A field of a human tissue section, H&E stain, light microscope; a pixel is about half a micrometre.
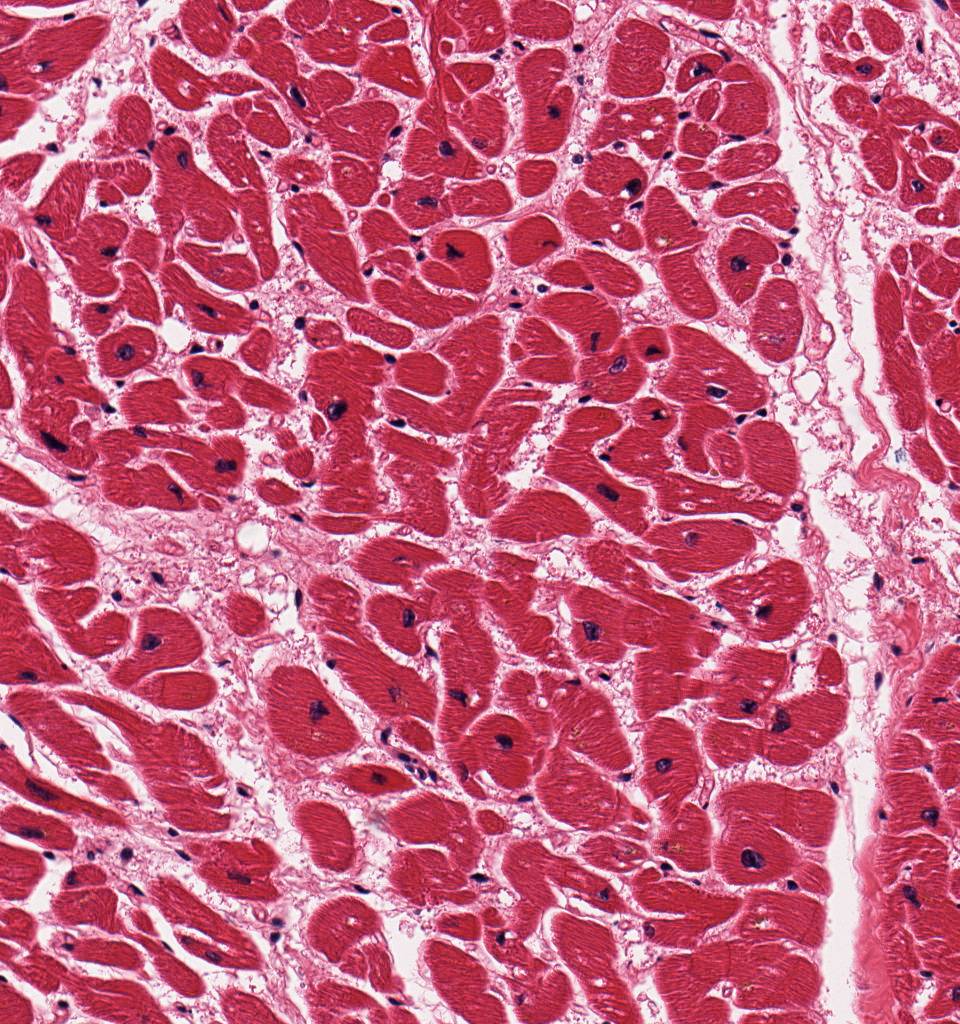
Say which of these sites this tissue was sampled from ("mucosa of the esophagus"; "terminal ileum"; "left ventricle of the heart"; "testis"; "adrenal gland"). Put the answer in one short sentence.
The site this tissue was sampled from is the left ventricle of the heart.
